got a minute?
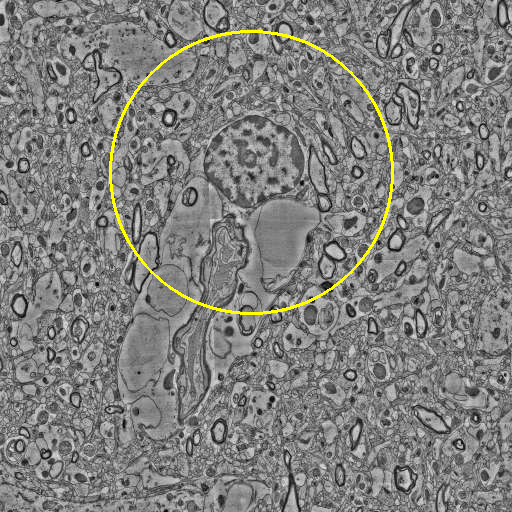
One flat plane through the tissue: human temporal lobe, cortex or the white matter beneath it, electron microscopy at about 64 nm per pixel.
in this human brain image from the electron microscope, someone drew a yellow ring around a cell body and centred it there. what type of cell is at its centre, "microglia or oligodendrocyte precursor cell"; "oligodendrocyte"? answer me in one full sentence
It's a microglial cell or oligodendrocyte precursor cell at the middle of that yellow ring in the shot.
